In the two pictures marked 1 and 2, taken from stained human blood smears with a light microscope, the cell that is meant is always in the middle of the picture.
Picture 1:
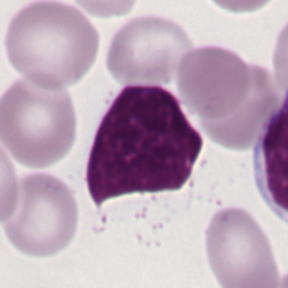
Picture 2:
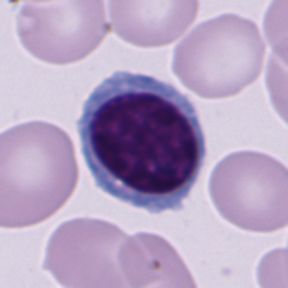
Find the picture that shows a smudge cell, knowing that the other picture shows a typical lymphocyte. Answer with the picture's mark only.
1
